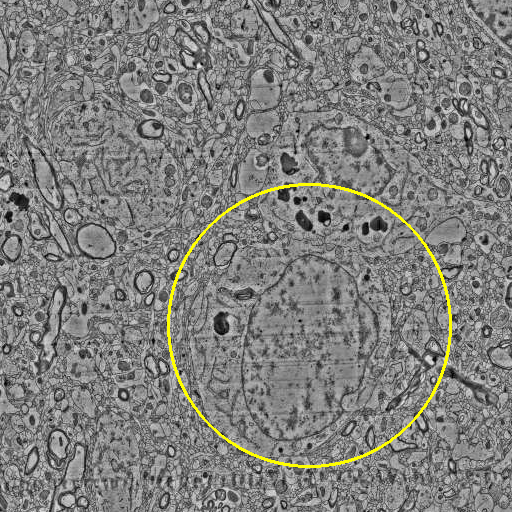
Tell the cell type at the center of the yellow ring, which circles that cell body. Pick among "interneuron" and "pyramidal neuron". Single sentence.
The ring is centered on the body of a pyramidal neuron.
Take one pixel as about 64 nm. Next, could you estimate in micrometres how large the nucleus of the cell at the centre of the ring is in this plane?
About 12 micrometres by about 8 micrometres in this plane.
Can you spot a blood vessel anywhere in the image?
No, there is no blood vessel in the image.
